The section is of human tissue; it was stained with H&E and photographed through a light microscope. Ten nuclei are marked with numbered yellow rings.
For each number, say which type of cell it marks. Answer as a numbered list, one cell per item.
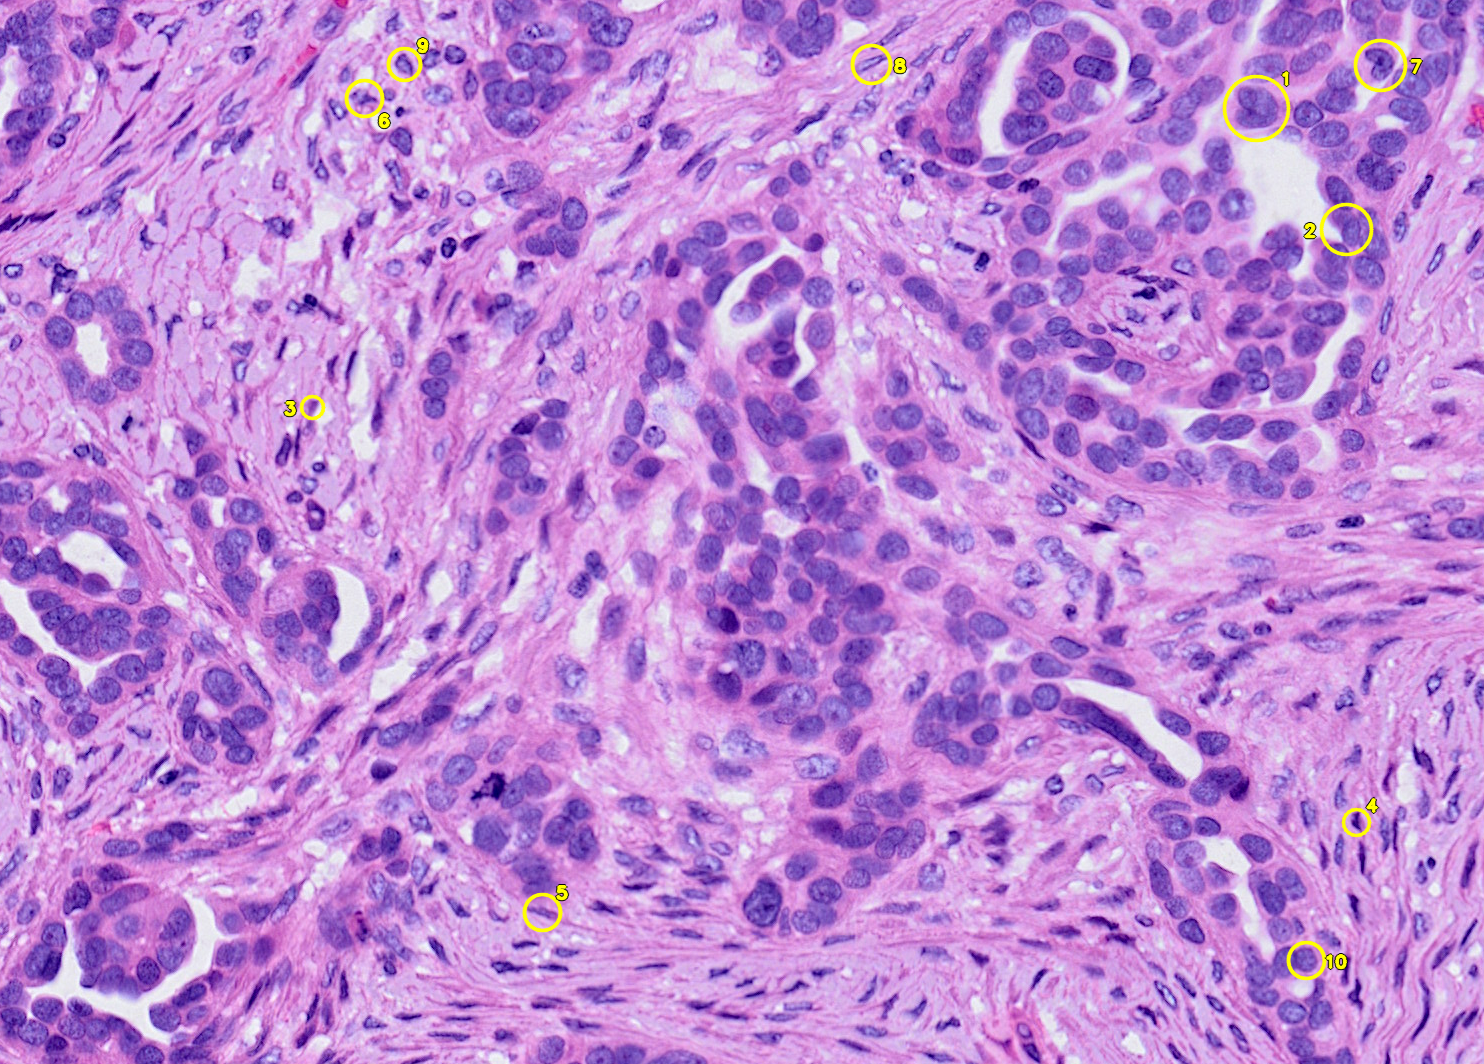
1. carcinoma cell
2. carcinoma cell
3. fibroblast
4. fibroblast
5. fibroblast
6. fibroblast
7. macrophage or monocyte
8. fibroblast
9. fibroblast
10. carcinoma cell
